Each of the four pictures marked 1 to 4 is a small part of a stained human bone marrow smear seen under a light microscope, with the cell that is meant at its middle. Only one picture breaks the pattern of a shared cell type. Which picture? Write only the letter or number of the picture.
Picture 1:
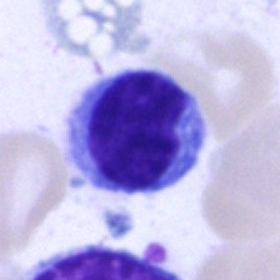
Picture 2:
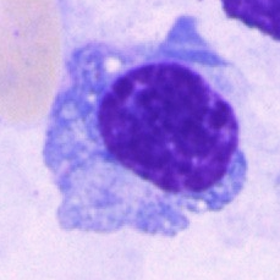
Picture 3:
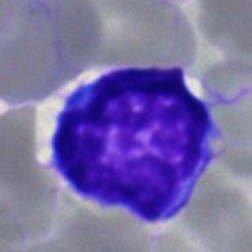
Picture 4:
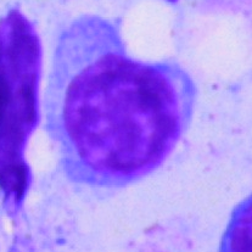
2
